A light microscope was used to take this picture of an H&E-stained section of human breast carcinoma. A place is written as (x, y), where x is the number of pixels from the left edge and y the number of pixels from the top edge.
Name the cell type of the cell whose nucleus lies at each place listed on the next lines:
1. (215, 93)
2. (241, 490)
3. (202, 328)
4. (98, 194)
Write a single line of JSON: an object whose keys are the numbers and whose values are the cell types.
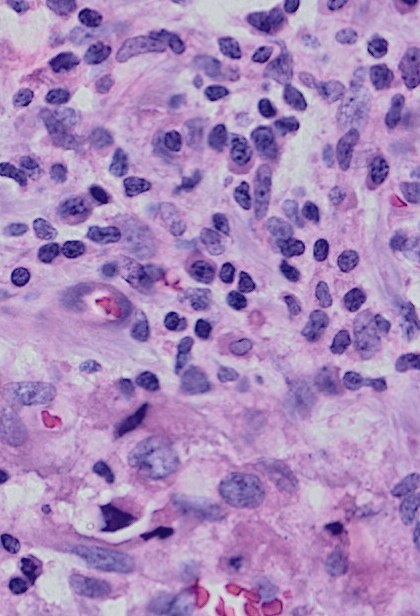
{"1": "lymphocyte", "2": "carcinoma cell", "3": "lymphocyte", "4": "lymphocyte"}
